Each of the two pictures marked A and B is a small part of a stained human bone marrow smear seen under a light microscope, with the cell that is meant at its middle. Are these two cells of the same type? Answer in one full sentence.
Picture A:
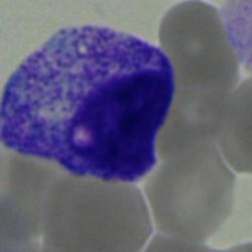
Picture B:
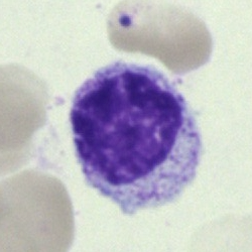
Yes, they are the same type: both are myelocytes.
